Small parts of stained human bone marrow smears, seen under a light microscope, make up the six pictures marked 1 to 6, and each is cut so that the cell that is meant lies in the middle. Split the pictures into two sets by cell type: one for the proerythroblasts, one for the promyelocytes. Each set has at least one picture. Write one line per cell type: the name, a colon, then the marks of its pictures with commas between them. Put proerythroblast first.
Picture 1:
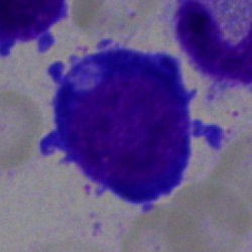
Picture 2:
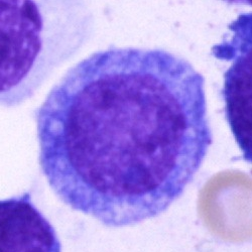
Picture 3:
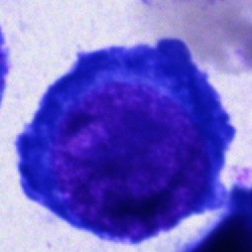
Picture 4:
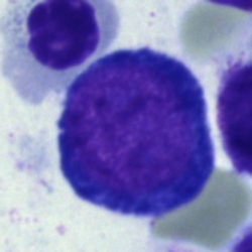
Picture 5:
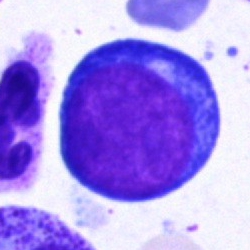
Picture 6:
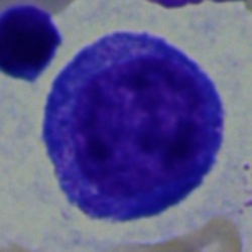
proerythroblast: 1, 3, 4, 5
promyelocyte: 2, 6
